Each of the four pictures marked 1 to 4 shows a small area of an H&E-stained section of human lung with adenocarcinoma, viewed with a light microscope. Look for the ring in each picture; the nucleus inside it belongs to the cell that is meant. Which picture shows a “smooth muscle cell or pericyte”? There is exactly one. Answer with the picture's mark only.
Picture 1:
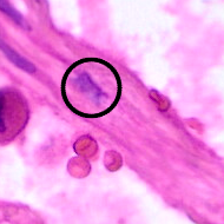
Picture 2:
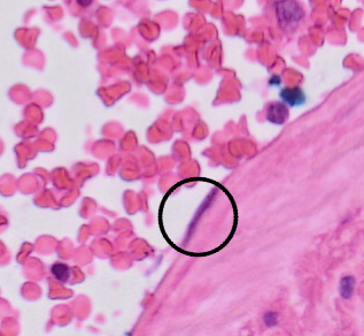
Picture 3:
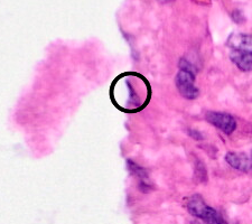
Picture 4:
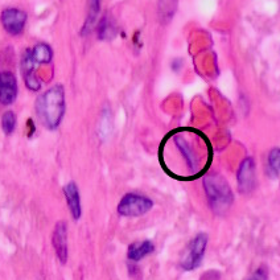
1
